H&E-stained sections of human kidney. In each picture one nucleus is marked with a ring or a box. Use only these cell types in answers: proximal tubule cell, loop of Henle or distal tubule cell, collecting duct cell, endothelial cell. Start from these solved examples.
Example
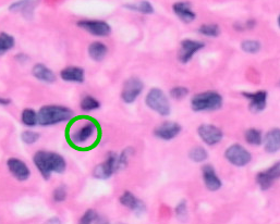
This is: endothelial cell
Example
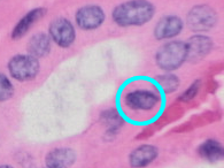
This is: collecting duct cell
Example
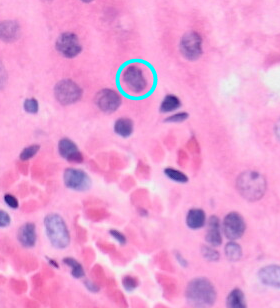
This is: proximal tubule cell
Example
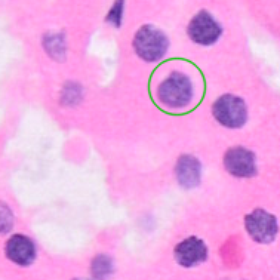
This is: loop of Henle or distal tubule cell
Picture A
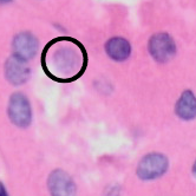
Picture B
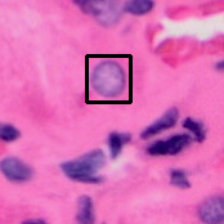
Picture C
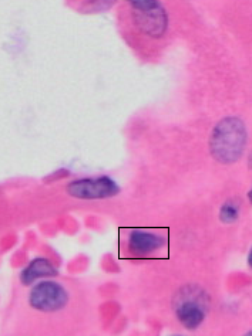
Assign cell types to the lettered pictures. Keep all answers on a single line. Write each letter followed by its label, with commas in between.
A loop of Henle or distal tubule cell, B proximal tubule cell, C endothelial cell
